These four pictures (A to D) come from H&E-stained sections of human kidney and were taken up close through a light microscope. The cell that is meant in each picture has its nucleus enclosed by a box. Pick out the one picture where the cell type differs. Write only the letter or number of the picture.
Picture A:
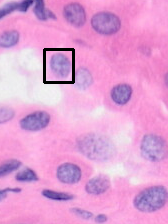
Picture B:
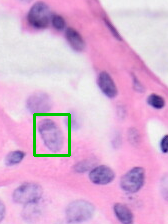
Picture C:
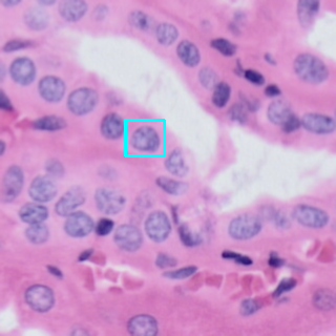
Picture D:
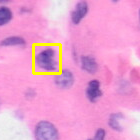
A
